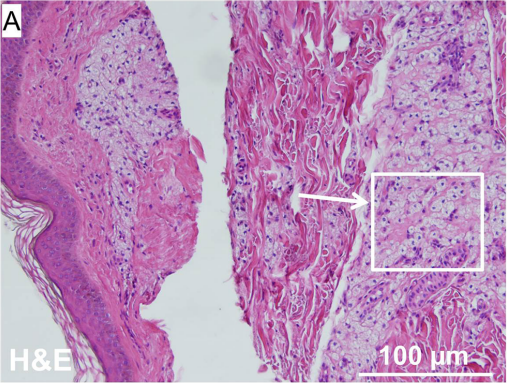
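This is skin with a stratified squamous epidermis at the left, stained pink with purple basal layers. The dermis beneath is extensively occupied by pale, vacuolated cells in loose sheets between pink collagen bundles. A cleft runs vertically through the dermis, and a boxed area on the right marks a field of the pale cells.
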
